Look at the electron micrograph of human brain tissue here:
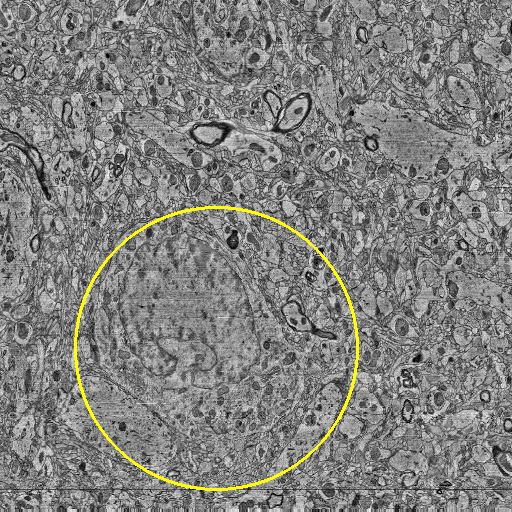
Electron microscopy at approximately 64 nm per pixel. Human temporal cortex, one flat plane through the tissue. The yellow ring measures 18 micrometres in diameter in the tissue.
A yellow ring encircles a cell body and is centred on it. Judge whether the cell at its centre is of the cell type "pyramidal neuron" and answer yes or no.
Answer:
no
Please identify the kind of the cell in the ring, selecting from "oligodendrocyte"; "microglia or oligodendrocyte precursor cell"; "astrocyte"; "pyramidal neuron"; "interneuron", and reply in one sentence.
Instead, the cell at the centre of the yellow ring is an interneuron.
